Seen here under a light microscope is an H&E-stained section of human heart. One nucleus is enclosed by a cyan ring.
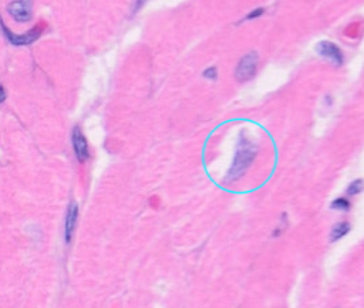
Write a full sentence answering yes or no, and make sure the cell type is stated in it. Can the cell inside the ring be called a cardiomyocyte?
Yes, the classification of the cell inside the ring as a cardiomyocyte is accurate.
